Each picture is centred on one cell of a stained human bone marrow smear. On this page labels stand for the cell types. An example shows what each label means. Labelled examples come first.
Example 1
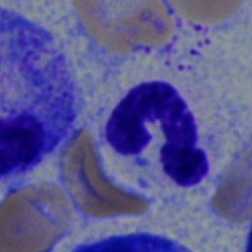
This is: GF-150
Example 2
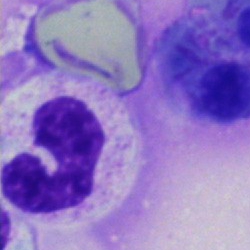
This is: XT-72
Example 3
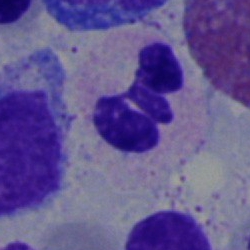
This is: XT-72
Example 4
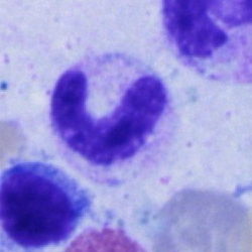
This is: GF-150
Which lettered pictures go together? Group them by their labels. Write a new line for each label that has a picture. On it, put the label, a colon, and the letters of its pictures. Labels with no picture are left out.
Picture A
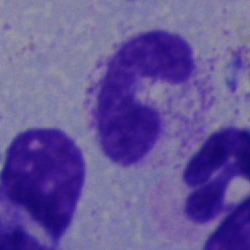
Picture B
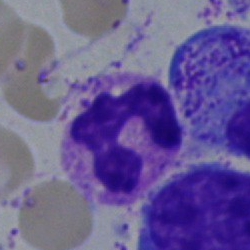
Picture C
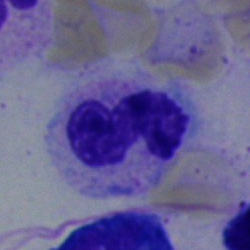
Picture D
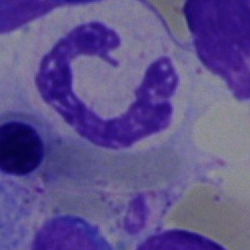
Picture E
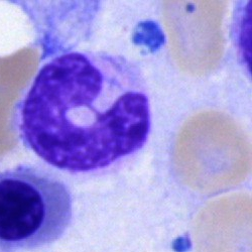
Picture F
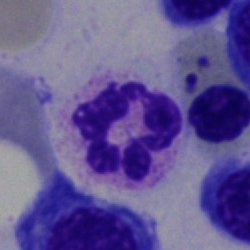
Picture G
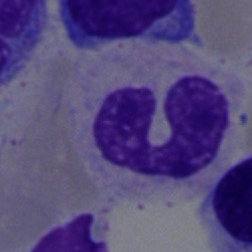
GF-150: A, C, E, G
XT-72: B, D, F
